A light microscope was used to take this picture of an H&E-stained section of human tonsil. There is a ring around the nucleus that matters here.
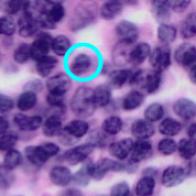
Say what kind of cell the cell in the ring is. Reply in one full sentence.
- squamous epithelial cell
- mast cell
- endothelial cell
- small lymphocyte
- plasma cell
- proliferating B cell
Cytologically, the cell in the ring is to be regarded as a small lymphocyte.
